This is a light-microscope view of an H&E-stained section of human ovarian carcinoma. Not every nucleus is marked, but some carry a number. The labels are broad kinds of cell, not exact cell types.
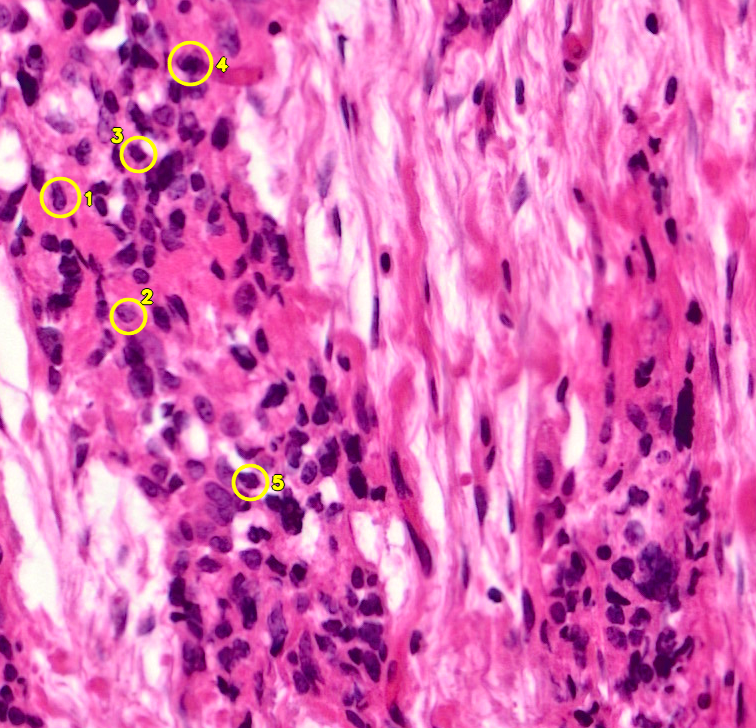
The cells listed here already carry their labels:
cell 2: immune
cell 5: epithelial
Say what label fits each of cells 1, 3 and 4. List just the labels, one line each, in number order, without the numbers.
immune
epithelial
epithelial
